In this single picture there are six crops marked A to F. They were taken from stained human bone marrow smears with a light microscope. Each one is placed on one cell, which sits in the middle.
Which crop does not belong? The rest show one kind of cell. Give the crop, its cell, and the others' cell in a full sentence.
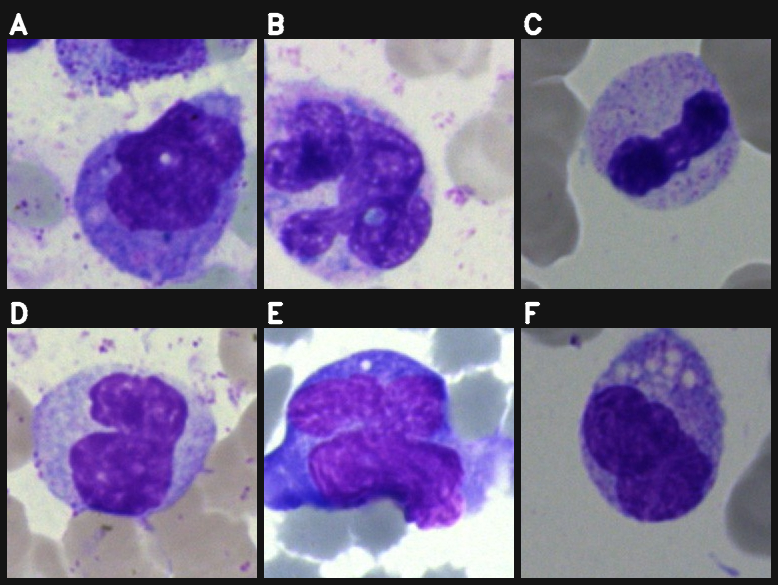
Only in crop C is there a band neutrophil; all other crops show monocytes.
